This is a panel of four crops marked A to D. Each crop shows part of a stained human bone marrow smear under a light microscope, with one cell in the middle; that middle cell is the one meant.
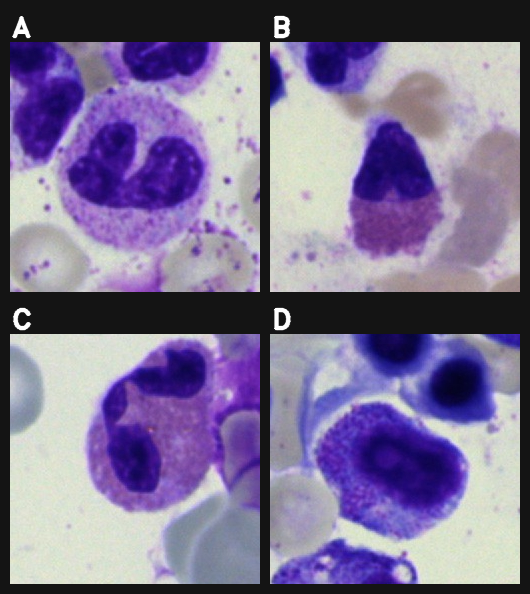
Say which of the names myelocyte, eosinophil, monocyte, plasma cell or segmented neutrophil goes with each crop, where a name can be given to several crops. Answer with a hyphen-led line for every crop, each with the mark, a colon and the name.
- A: segmented neutrophil
- B: eosinophil
- C: eosinophil
- D: myelocyte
